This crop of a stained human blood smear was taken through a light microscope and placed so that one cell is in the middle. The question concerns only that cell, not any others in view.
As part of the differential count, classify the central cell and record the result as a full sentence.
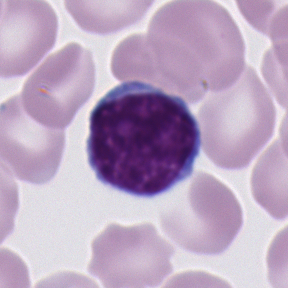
Regarding the central cell, it is a typical lymphocyte.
